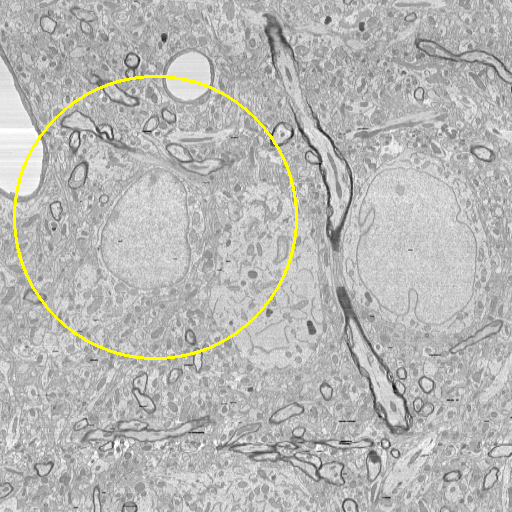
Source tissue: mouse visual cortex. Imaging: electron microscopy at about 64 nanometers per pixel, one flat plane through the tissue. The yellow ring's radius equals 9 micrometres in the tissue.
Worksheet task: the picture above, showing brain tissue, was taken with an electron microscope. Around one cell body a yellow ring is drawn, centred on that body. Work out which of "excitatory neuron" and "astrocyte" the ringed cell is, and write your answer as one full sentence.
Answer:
It is an astrocyte whose cell body lies at the centre of the yellow ring.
